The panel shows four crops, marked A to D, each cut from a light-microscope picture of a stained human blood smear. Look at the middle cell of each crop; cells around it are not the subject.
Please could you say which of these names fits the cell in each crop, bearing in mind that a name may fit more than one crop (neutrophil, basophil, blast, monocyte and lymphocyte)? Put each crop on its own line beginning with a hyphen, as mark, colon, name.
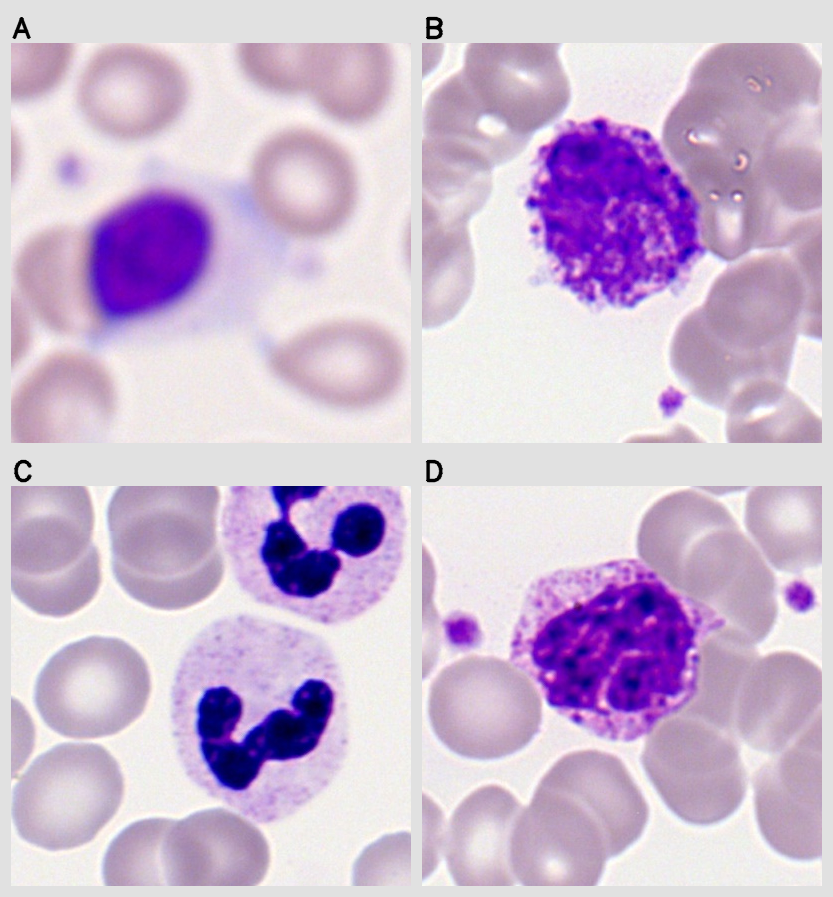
- A: lymphocyte
- B: basophil
- C: neutrophil
- D: basophil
